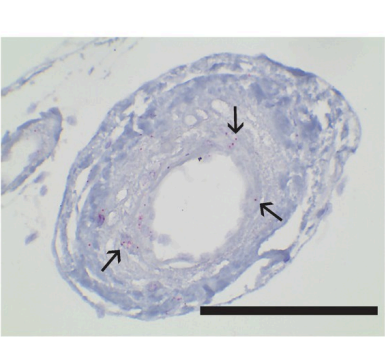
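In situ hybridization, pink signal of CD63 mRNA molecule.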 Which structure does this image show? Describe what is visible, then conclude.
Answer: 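Artery. A round vessel in cross-section with an empty central lumen. A thick, layered wall surrounds the lumen. A thinner loose outer layer encircles the wall.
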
